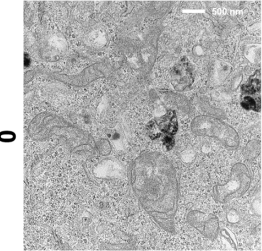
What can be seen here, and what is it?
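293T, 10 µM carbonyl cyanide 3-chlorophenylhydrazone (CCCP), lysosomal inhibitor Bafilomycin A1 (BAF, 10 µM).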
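Cytoplasm of a cultured cell in which several oval and elongated mitochondria are seen, each bounded by a double membrane and crossed by pale cristae. Small, very electron-dense irregular bodies lie among them in the granular cytoplasm.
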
